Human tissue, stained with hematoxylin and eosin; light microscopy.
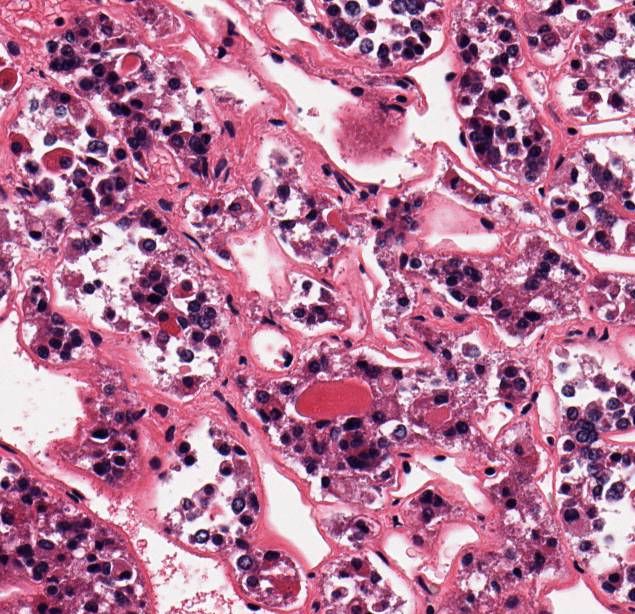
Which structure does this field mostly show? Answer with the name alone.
pars distalis of the pituitary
